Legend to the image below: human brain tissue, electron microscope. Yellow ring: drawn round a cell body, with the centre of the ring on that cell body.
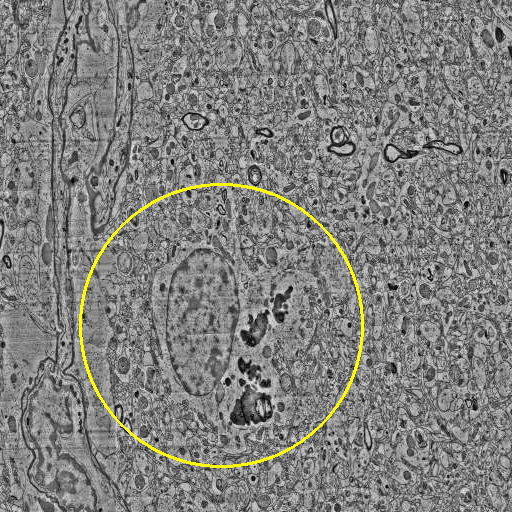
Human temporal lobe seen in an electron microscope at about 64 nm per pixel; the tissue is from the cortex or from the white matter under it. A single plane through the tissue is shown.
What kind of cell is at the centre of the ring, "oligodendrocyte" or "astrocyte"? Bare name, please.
astrocyte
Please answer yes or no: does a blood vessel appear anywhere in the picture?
Yes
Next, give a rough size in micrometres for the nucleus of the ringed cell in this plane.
About 9 by 5 micrometers in this plane, so the nucleus is clearly longer than it is wide.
